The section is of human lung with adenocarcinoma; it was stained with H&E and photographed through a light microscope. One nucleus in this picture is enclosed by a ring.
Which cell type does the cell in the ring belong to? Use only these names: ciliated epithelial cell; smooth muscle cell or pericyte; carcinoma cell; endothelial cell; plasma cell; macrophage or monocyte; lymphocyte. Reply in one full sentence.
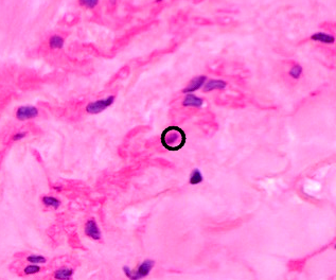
With respect to cell type, the cell in the ring is a smooth muscle cell or pericyte.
